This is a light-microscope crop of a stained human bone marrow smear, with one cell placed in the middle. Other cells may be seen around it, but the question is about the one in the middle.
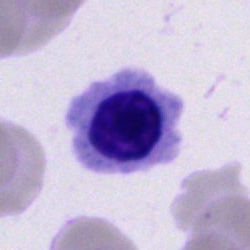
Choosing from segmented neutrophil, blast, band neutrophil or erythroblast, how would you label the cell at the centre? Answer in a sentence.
Whatever else lies nearby, the middle cell is an erythroblast.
